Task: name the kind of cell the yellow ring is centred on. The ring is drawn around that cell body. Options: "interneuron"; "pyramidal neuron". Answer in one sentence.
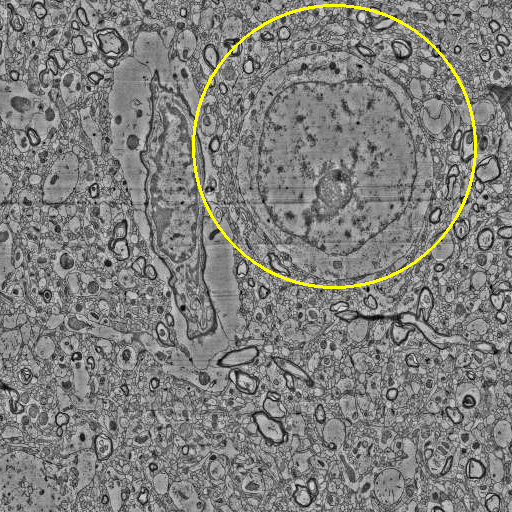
This cell body belongs to a pyramidal neuron.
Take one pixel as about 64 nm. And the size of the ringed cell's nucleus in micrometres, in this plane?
In this plane the nucleus spans approximately 12 by 10 micrometers.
